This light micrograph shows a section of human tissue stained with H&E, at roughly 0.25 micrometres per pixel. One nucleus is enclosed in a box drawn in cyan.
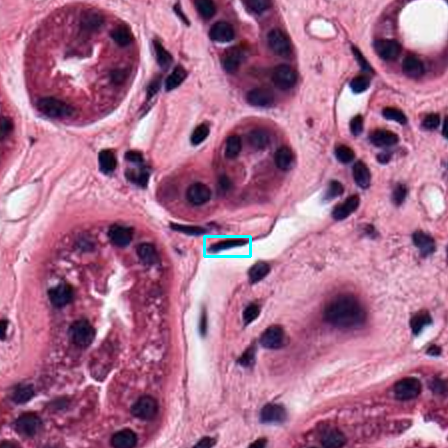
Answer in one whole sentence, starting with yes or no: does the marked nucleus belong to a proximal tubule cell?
No, the marked nucleus lies within a supporting cell, not within a proximal tubule cell.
